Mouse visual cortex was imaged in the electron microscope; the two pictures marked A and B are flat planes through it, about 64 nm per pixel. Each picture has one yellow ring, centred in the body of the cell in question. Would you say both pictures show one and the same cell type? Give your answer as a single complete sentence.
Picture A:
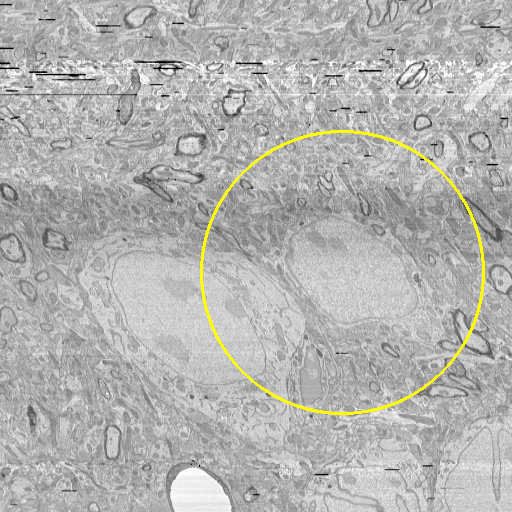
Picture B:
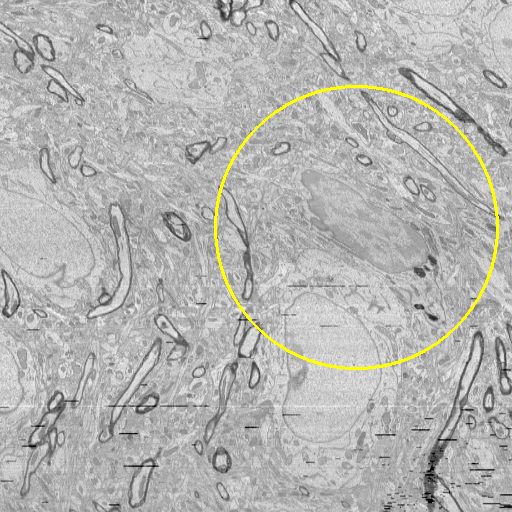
No, the types are not the same, since picture A shows an astrocyte and picture B a microglial cell.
